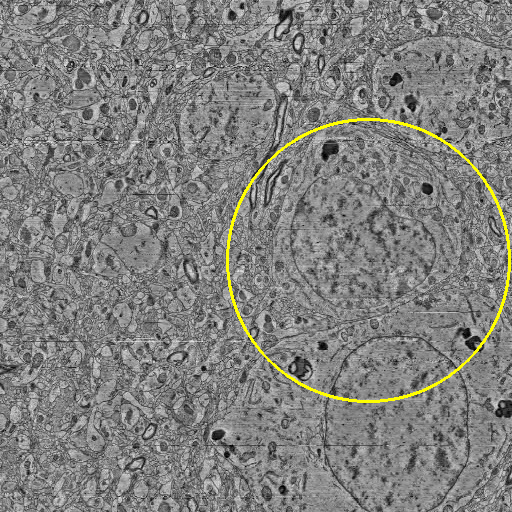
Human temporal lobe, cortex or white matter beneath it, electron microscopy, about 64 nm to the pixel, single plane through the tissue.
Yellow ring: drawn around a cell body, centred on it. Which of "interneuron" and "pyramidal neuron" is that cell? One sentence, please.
That cell body is from an interneuron.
